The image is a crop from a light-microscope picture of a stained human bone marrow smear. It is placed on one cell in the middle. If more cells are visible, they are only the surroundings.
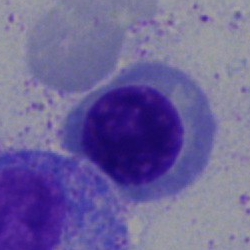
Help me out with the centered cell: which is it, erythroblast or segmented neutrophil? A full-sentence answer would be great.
The cell sitting right in the middle is an erythroblast.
